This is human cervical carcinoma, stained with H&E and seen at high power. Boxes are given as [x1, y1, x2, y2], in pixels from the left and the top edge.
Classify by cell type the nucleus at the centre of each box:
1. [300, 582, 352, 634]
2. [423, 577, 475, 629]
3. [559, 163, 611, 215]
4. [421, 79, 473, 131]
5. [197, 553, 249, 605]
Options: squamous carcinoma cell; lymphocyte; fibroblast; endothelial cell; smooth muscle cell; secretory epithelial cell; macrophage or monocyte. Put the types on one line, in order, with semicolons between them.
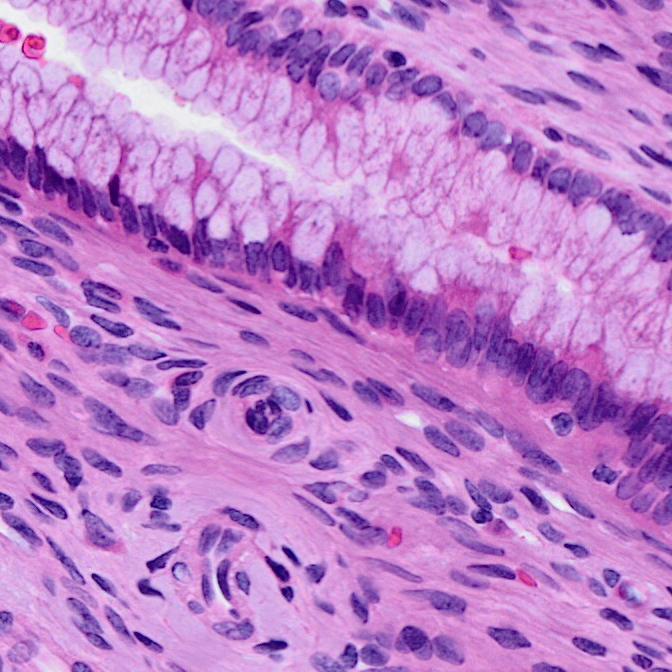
fibroblast; fibroblast; secretory epithelial cell; secretory epithelial cell; endothelial cell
